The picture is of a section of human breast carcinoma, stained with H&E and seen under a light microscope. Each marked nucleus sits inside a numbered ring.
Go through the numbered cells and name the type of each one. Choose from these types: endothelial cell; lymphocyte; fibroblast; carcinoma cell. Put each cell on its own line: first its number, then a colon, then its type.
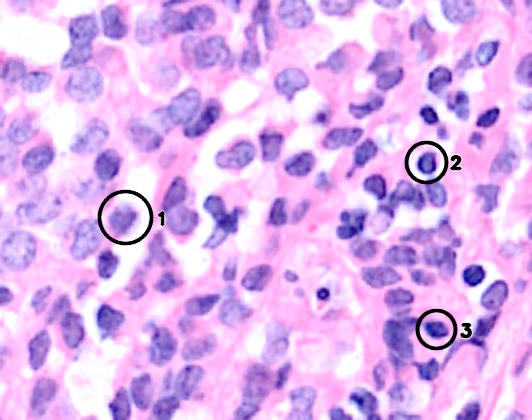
1: carcinoma cell
2: lymphocyte
3: lymphocyte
